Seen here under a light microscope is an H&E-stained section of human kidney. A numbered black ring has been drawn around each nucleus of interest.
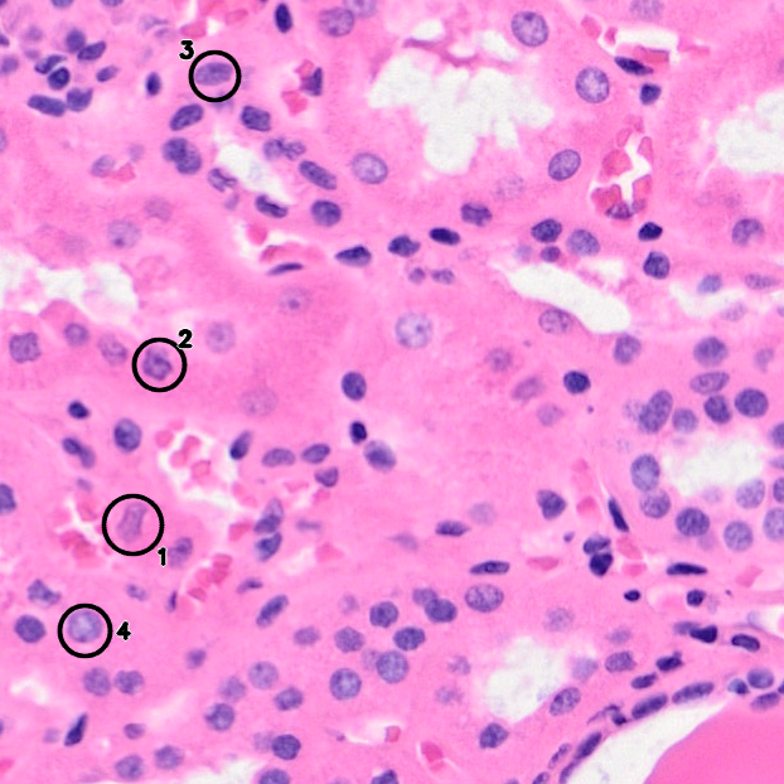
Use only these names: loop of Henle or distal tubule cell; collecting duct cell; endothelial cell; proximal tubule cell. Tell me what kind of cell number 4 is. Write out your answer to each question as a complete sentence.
The cell assigned the number 4 is a loop of Henle or distal tubule cell.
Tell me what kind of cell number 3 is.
The cell numbered 3 has been identified as a collecting duct cell.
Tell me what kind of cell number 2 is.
Cell 2, as marked in the section, is a proximal tubule cell.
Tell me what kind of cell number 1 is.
In the marked set, the cell given number 1 is a proximal tubule cell.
